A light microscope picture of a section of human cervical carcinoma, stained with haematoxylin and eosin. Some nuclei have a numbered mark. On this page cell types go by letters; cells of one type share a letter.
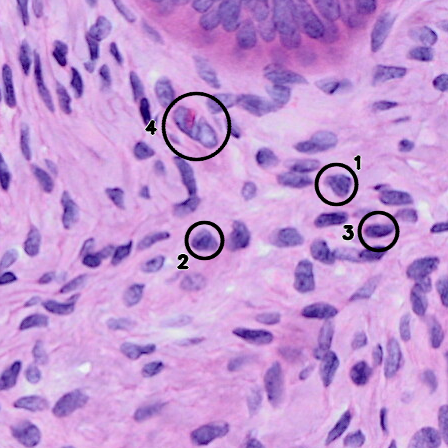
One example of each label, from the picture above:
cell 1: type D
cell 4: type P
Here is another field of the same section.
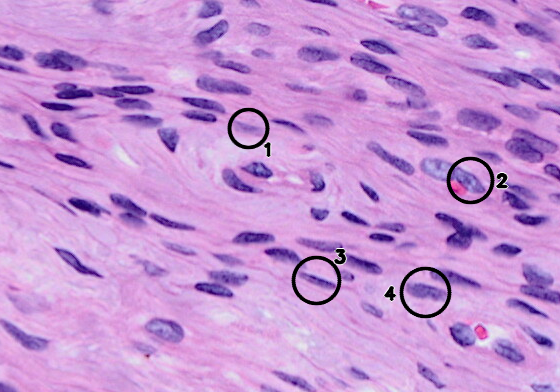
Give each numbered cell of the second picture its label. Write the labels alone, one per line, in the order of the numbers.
type D
type P
type D
type D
